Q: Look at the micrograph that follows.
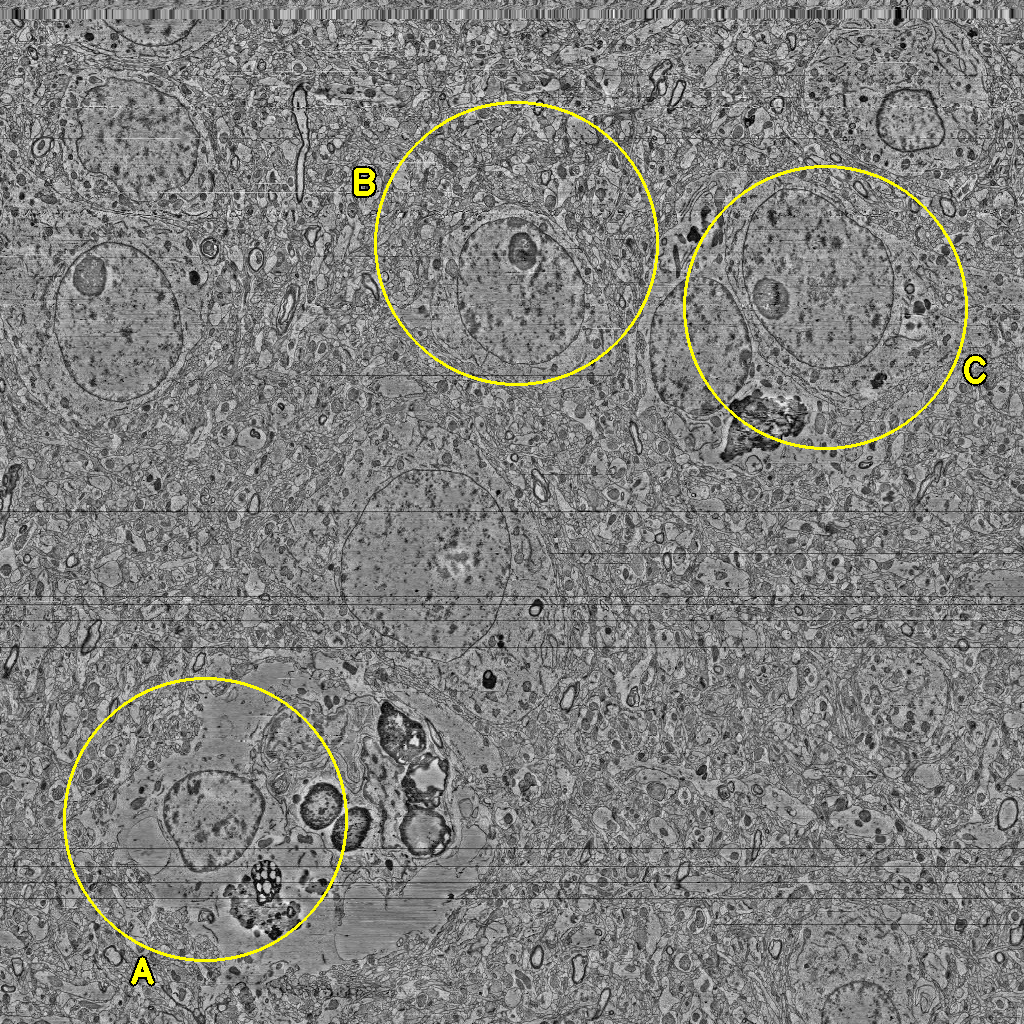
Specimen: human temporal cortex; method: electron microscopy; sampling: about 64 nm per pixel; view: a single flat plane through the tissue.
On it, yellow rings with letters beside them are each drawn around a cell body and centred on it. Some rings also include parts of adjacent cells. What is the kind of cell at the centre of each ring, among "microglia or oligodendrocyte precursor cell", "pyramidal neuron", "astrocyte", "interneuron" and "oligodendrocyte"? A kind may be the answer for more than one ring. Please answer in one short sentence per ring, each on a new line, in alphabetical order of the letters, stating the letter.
Ring A surrounds the cell body of an astrocyte.
Ring B surrounds the cell body of a pyramidal neuron.
Ring C surrounds the cell body of a pyramidal neuron.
